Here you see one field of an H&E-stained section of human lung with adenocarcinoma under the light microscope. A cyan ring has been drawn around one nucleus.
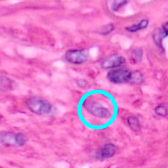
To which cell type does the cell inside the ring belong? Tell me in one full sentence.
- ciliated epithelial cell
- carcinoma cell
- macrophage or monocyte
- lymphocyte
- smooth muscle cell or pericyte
It is a smooth muscle cell or pericyte that the cell inside the ring represents.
